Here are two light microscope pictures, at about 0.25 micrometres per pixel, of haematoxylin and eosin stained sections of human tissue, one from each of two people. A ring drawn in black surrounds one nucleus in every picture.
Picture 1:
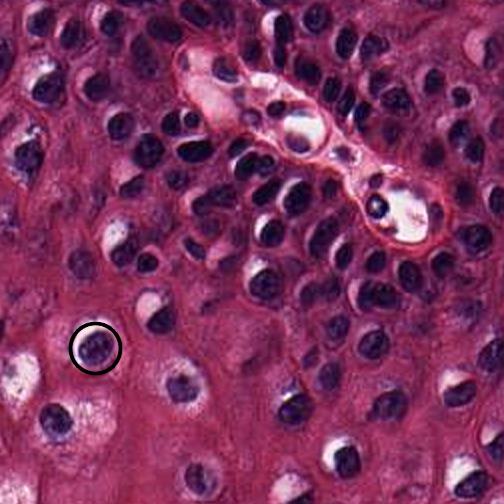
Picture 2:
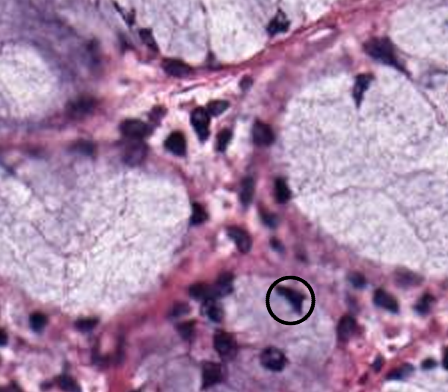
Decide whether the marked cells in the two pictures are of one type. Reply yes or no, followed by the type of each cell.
No, the first is a squamous epithelial cell and the second a mucous gland cell.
